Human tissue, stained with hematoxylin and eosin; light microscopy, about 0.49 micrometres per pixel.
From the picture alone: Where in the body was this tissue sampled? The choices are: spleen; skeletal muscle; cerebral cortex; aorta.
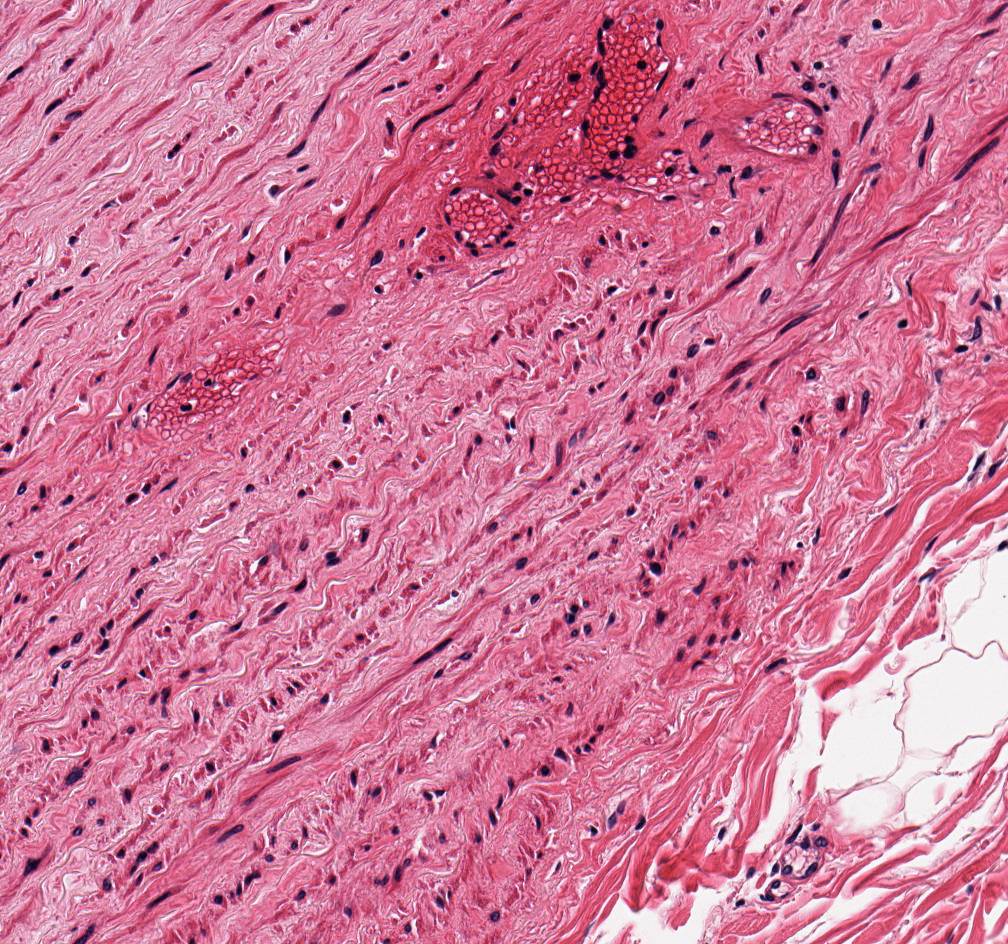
aorta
